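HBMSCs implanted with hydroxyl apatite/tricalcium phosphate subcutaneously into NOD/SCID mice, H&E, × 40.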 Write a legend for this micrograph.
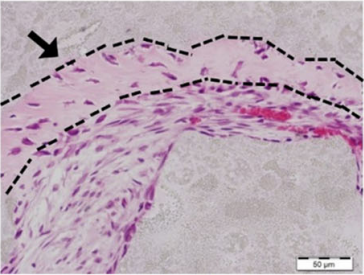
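Above, grey granular scaffold material fills the field; below it runs a zone of newly formed bone, a band of smooth, homogeneous pink matrix outlined by dashed lines. Flattened osteoblast-like cells with dark purple nuclei sit along and within this band. Beneath the bone lies a dense layer of spindle-shaped cells with elongated nuclei arranged in parallel, streaming along the contour of the matrix, with a few red blood cells among them. The bone thus lies between the scaffold and the spindle-cell tissue.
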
